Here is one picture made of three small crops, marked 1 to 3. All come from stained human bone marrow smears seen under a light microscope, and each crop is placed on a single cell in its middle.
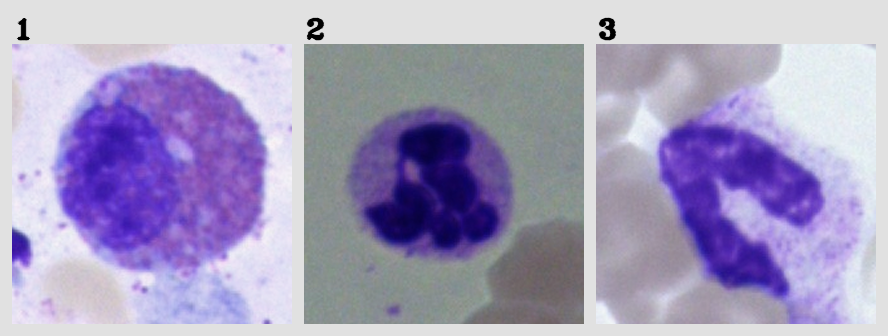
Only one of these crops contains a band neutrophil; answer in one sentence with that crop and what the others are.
Crop 3 corresponds to a band neutrophil, while crop 1 is an eosinophil and crop 2 is a segmented neutrophil.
